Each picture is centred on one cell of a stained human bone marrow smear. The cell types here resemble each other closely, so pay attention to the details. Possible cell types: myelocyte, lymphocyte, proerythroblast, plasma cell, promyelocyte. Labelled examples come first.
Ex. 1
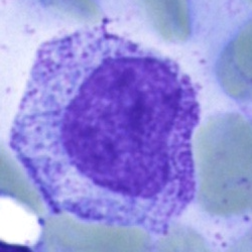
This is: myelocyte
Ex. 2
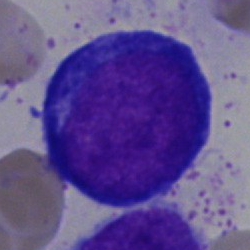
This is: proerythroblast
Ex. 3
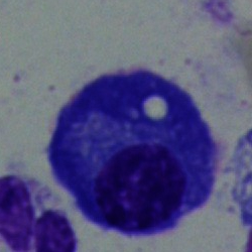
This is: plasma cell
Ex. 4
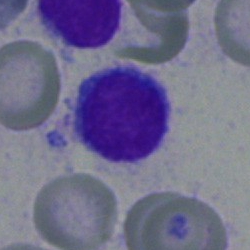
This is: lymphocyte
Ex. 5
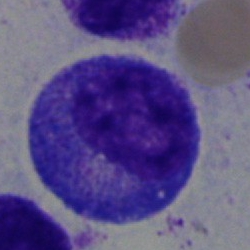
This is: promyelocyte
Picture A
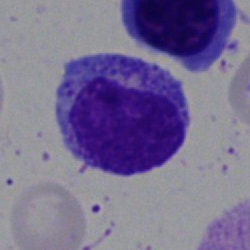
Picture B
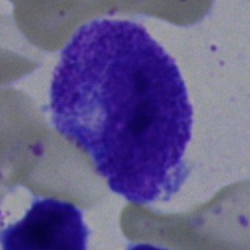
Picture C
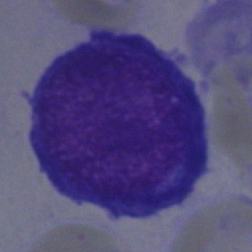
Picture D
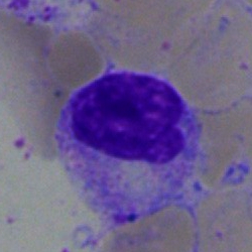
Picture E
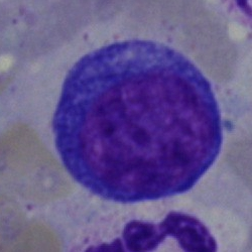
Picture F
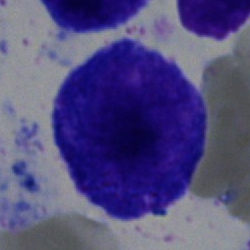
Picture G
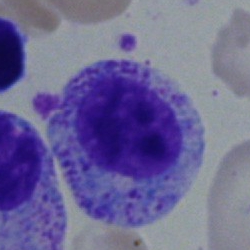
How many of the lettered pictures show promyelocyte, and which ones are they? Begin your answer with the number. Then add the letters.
2, namely B, F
